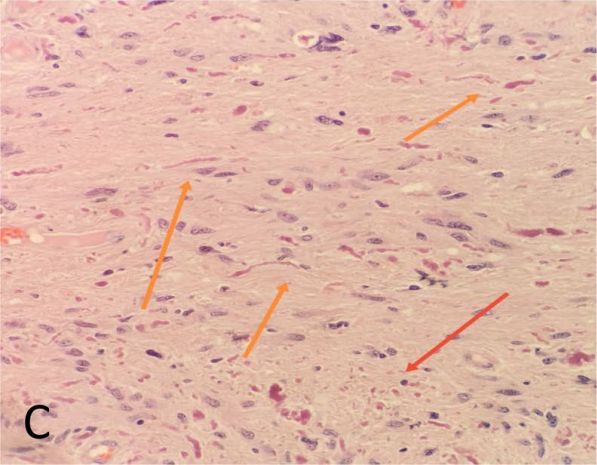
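This is a glial tumor made of elongated spindle cells set in a pale pink fibrillary background. The nuclei are oval to elongated, blue-purple and fairly uniform, mostly aligned in one direction. Among the cells lie bright pink, elongated rod- and corkscrew-shaped Rosenthal fibers, and in places small clusters of pink granular material, the eosinophilic granular bodies. A few small vessels with red blood cells appear at the edge.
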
